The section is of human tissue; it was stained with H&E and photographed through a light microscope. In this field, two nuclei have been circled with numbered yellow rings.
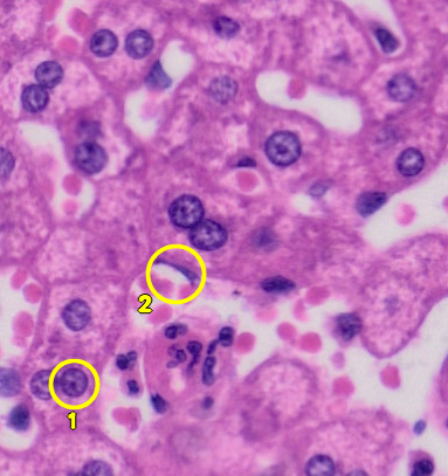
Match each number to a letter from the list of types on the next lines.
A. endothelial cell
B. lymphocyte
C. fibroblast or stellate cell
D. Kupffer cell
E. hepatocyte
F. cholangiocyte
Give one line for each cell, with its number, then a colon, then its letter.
1: E
2: A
